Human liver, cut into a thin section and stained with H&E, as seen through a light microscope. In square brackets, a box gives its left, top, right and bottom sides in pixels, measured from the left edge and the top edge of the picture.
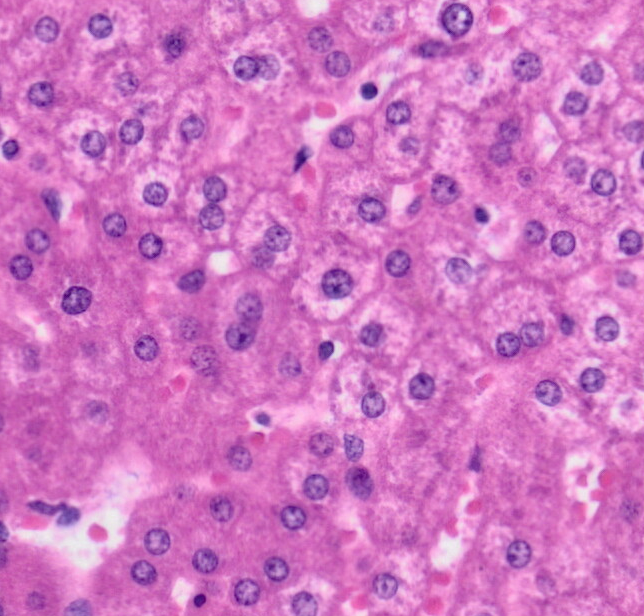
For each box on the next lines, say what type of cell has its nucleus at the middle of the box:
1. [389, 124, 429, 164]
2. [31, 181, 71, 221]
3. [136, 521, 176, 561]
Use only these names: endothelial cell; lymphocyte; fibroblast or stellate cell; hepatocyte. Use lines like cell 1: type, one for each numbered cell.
cell 1: hepatocyte
cell 2: endothelial cell
cell 3: hepatocyte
